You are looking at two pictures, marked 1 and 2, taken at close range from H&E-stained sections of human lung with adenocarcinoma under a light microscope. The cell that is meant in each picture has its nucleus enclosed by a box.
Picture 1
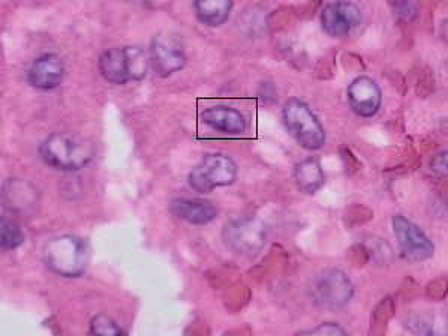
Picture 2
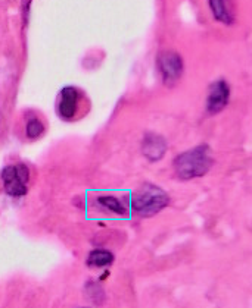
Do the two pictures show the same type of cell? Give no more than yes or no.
no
